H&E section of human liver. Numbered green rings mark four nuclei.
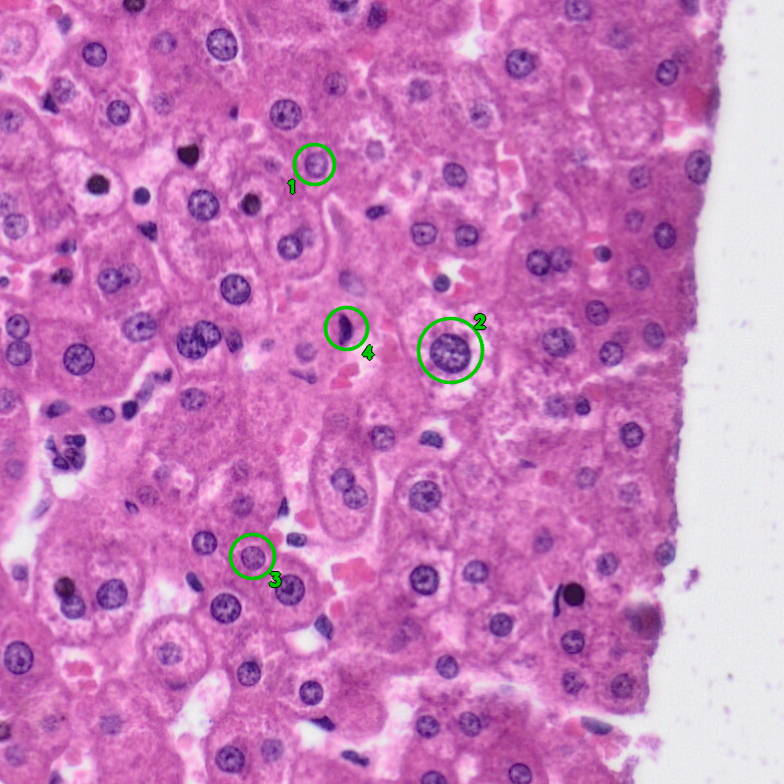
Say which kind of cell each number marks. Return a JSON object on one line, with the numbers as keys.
{"1": "hepatocyte", "2": "hepatocyte", "3": "hepatocyte", "4": "fibroblast or stellate cell"}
